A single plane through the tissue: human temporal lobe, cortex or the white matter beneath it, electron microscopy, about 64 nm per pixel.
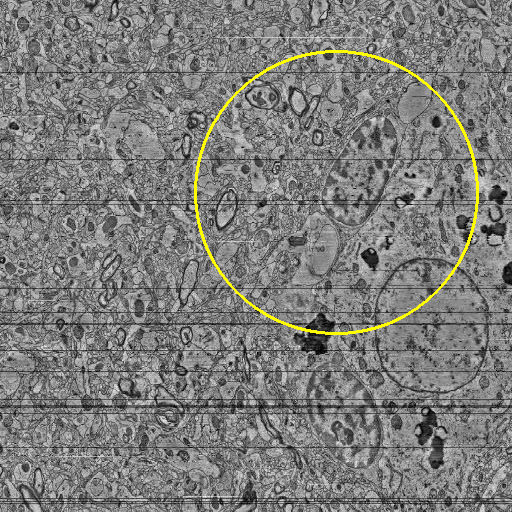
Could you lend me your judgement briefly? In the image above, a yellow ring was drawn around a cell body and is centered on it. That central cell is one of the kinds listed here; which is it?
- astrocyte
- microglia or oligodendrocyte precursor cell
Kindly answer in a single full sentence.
Going by the list, a microglial cell or oligodendrocyte precursor cell is the kind at the ring's center in the picture.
